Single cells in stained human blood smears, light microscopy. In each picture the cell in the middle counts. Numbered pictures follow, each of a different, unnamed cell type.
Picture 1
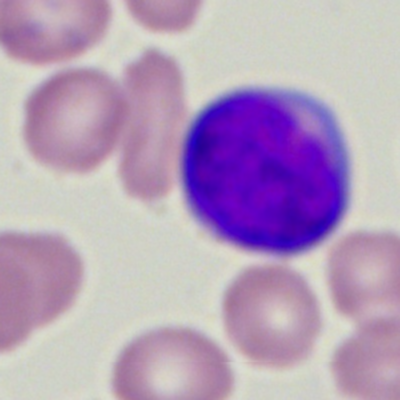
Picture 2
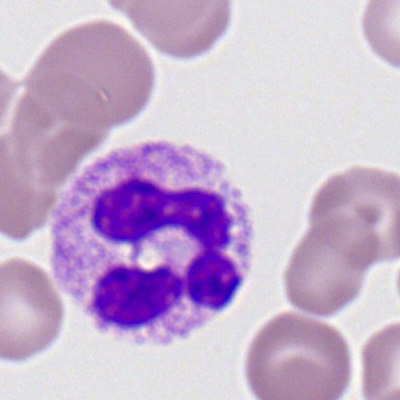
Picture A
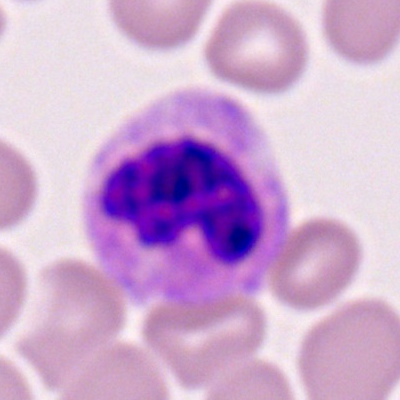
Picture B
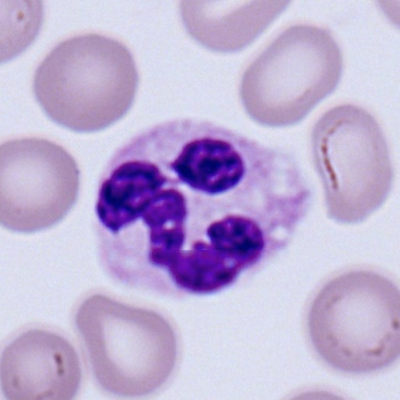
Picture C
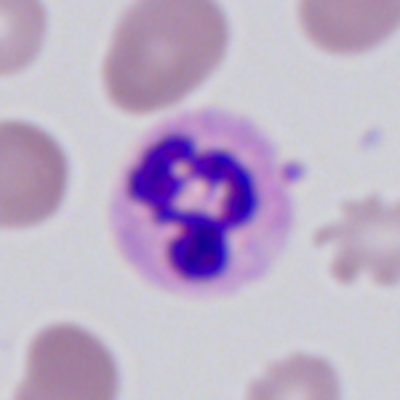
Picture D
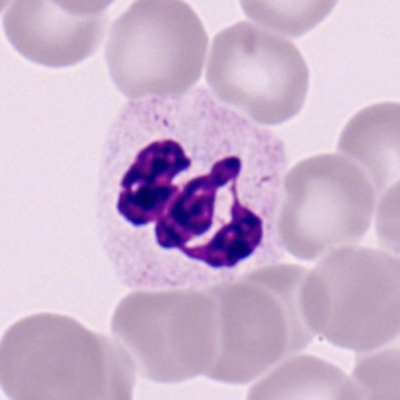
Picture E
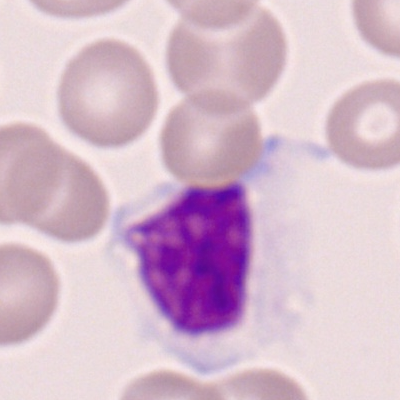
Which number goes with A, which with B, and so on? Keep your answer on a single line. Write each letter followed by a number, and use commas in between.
A 2, B 2, C 2, D 2, E 1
